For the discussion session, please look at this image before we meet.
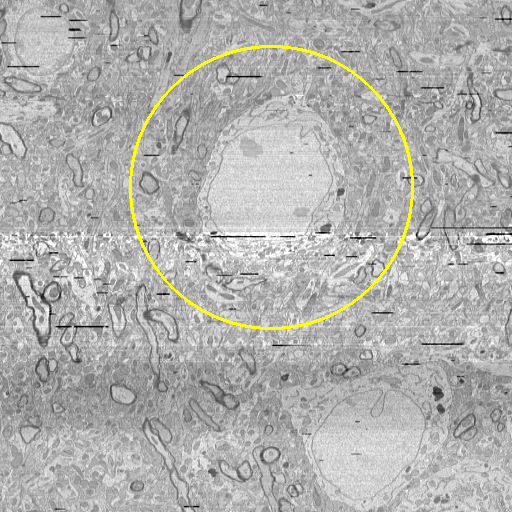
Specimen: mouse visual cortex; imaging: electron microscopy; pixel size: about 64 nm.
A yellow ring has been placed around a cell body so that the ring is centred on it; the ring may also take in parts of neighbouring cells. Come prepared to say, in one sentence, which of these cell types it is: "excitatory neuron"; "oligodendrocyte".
The cell centred in the ring is an excitatory neuron.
